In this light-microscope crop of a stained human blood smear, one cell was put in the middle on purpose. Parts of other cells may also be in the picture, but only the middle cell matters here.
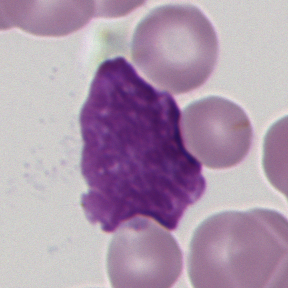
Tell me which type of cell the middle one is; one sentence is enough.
The central cell, amid any neighbouring cells, is a smudge cell.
